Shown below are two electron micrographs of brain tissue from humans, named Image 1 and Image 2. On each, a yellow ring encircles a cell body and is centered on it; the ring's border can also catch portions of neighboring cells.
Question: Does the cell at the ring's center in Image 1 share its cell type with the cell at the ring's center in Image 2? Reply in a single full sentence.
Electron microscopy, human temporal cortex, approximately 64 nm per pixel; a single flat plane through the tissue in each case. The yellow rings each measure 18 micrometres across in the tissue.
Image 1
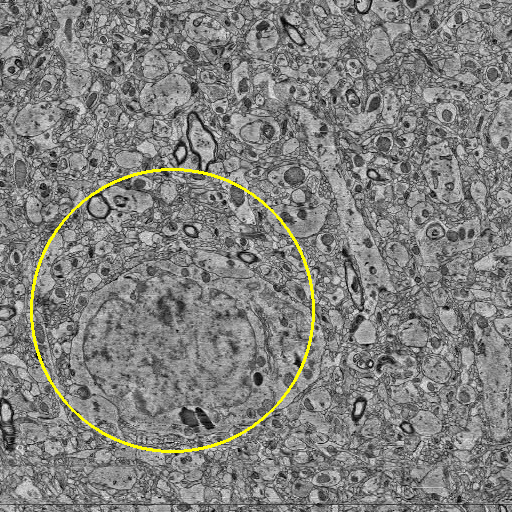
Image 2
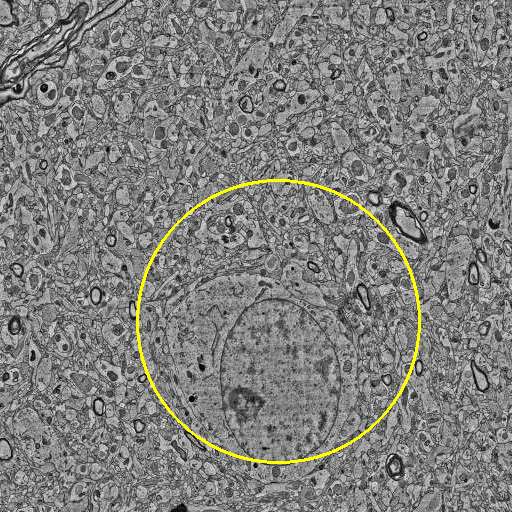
No, the two cells at the ring centers, in Image 1 and Image 2, are of two cell types.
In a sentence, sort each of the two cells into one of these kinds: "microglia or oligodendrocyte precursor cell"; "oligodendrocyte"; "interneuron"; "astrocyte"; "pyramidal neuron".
The first of the two cells is an interneuron, and the second is a pyramidal neuron.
